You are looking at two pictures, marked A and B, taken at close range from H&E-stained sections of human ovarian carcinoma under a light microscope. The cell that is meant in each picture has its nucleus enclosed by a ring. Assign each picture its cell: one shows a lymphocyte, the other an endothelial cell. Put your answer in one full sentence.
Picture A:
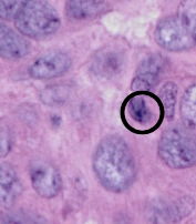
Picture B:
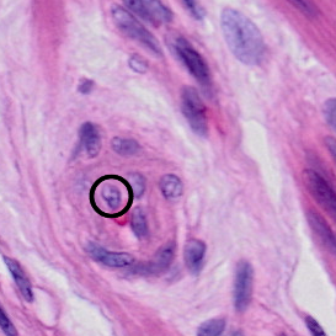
Picture A is of a lymphocyte, and picture B is of an endothelial cell.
